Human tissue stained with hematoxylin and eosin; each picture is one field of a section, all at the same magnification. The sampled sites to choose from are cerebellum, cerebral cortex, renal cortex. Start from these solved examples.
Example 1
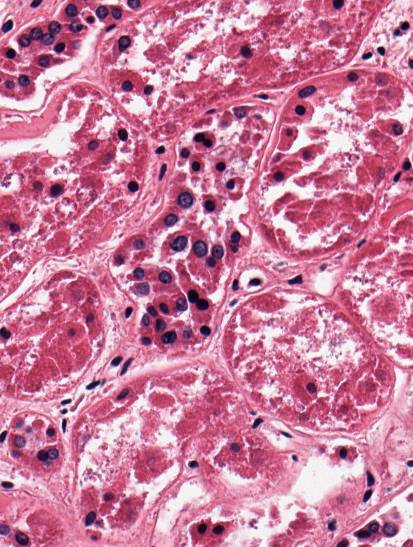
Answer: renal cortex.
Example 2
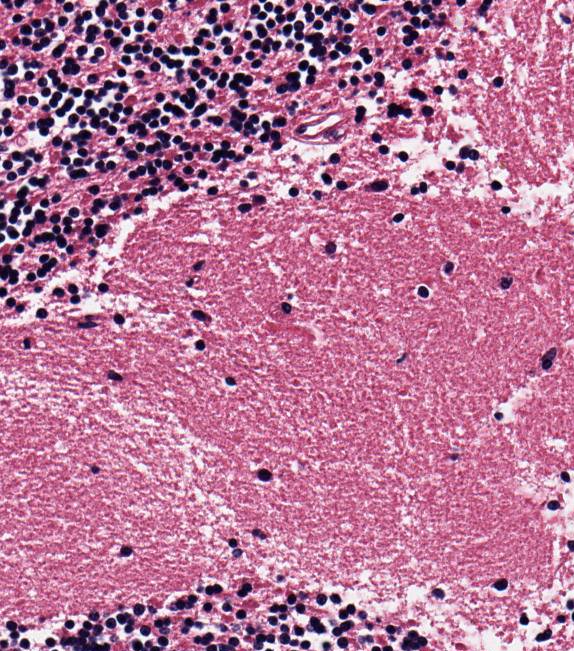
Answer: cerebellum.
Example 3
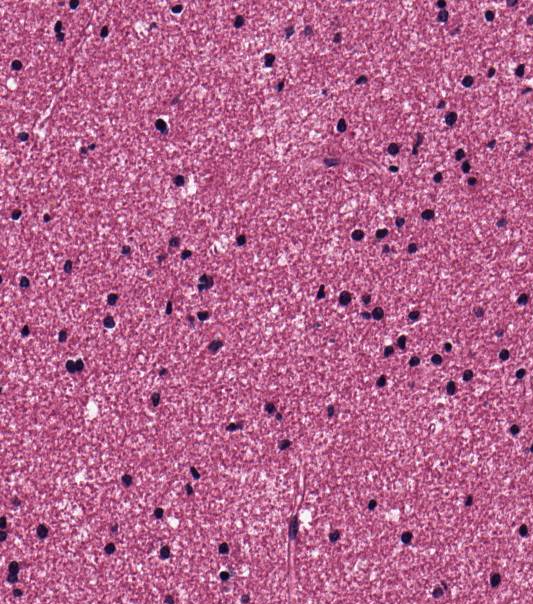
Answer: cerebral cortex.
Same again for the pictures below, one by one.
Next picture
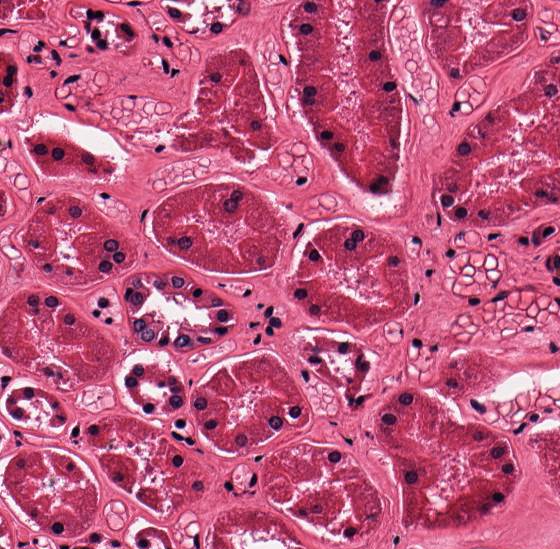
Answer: renal cortex.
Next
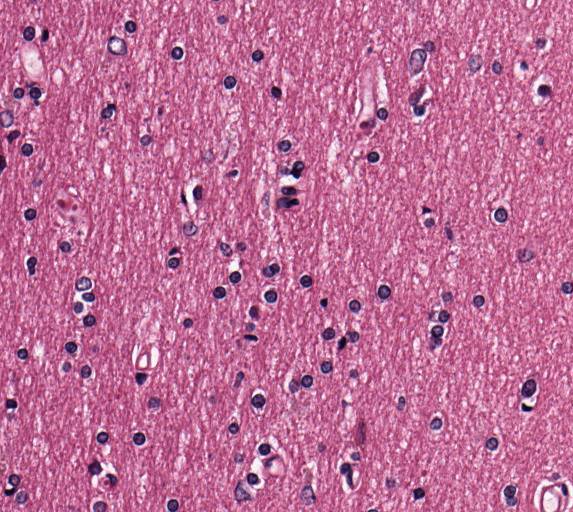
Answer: cerebral cortex.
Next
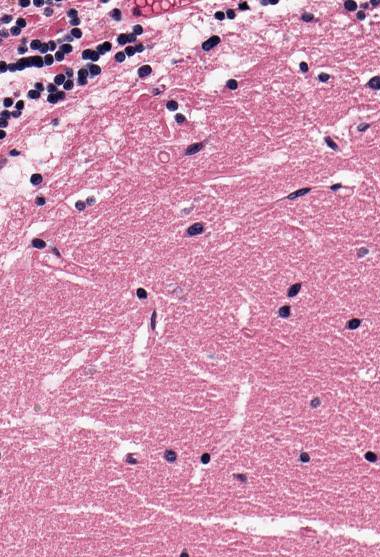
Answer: cerebellum.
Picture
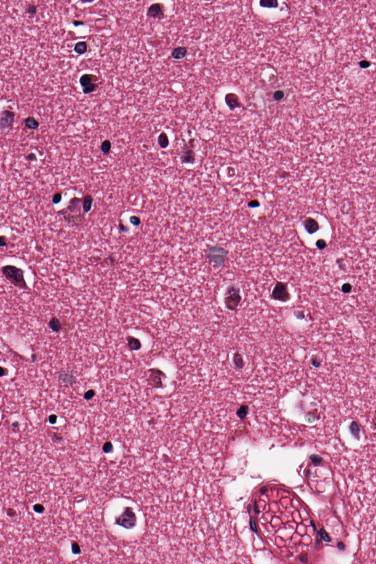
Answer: cerebral cortex.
